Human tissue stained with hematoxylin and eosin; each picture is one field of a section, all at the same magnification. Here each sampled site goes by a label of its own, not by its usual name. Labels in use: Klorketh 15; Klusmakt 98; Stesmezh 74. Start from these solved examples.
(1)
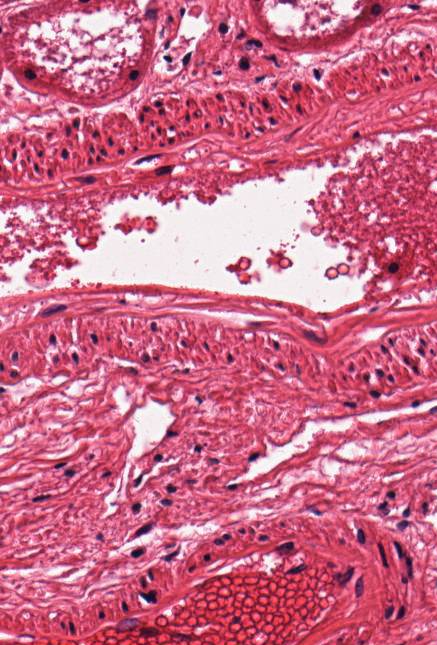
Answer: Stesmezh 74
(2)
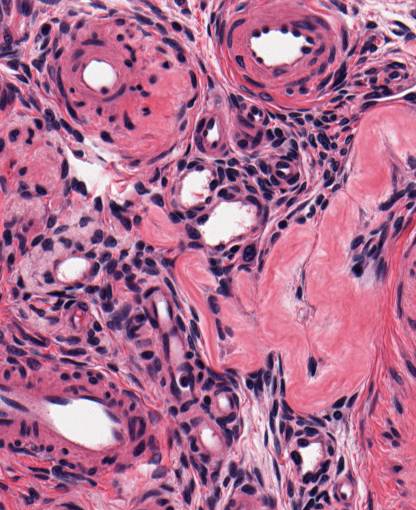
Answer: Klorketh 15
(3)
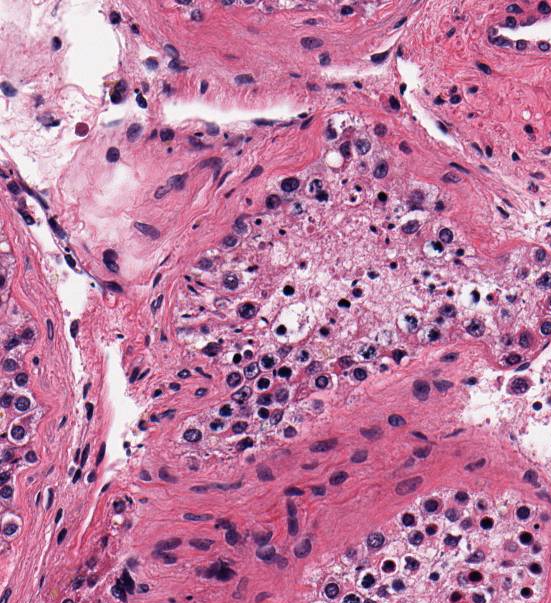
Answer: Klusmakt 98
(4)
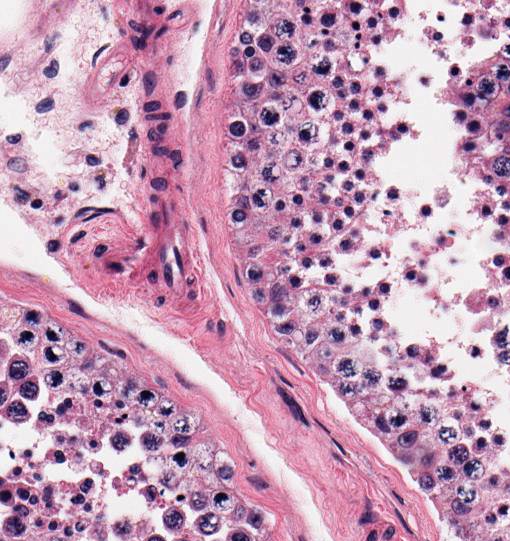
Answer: Klusmakt 98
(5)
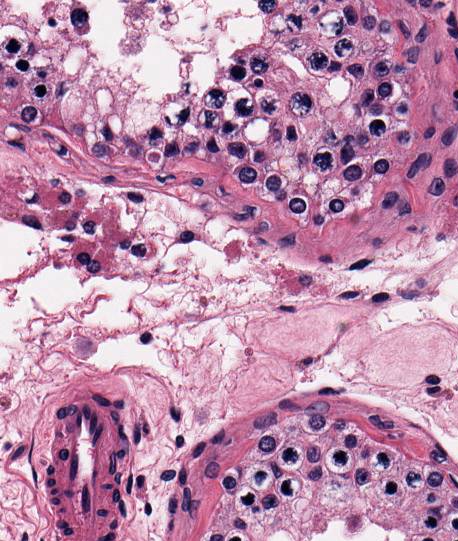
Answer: Klusmakt 98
